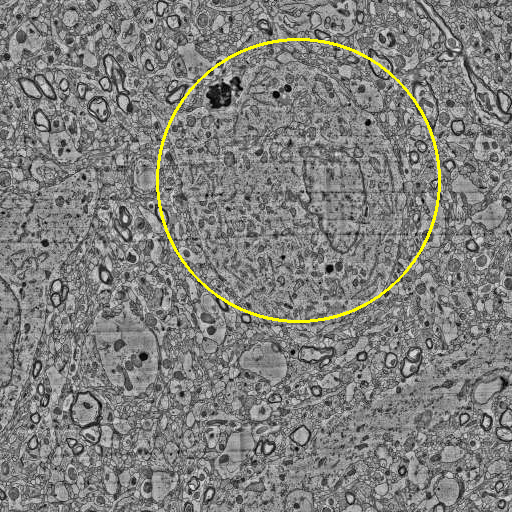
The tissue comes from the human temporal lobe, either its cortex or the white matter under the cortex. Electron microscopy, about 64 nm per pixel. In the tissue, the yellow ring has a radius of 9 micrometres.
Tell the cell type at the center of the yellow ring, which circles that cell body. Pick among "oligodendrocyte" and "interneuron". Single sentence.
The ring is centered on the body of an interneuron.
